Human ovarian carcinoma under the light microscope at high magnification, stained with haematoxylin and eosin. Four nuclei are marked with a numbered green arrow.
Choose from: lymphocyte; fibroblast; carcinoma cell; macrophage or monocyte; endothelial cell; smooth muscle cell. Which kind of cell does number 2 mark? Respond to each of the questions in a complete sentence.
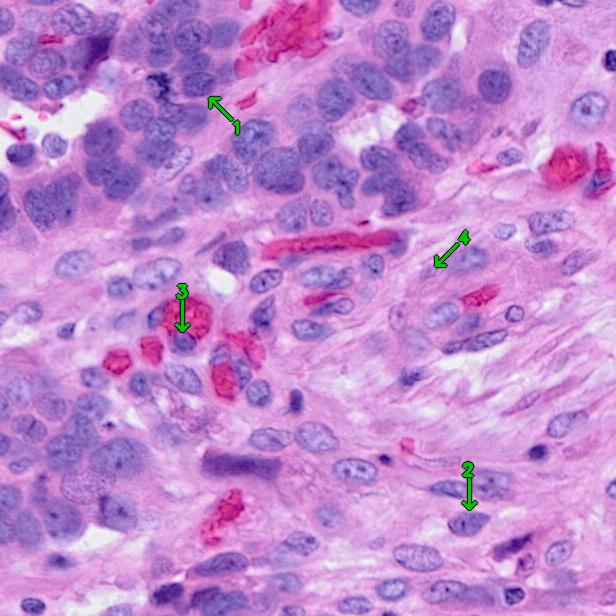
In this section, the cell numbered 2 is a macrophage or monocyte.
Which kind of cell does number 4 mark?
Number 4 among the marked cells is a fibroblast.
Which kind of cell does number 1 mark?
It is as a carcinoma cell that the cell numbered 1 is identified.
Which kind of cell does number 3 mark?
Within this field of view, the cell labelled 3 is an endothelial cell.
